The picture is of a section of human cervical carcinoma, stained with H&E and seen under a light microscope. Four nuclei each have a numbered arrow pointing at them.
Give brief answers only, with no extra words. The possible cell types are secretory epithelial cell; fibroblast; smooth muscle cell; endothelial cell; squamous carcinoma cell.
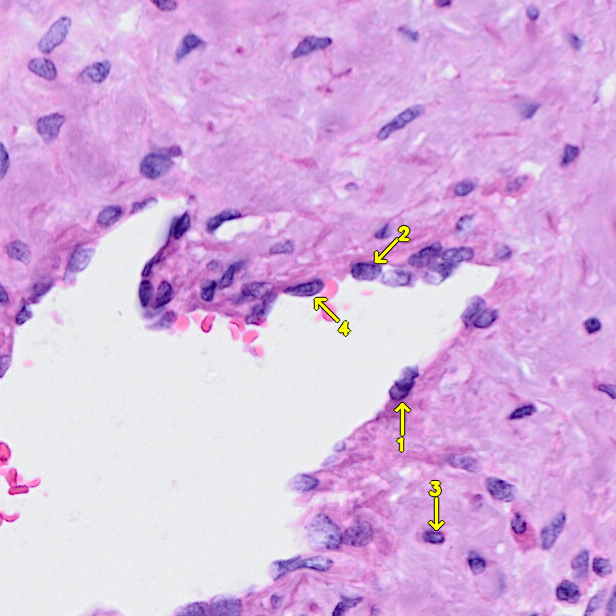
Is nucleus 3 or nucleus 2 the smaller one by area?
3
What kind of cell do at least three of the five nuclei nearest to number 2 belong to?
endothelial cell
